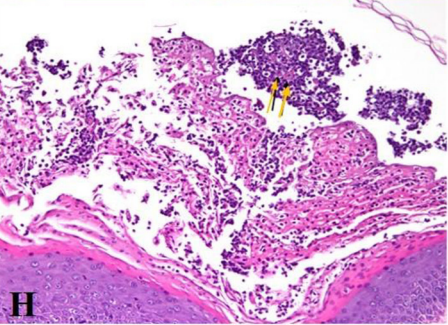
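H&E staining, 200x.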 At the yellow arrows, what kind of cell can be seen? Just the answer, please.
Acantholytic cells.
